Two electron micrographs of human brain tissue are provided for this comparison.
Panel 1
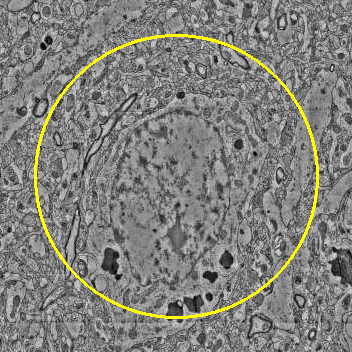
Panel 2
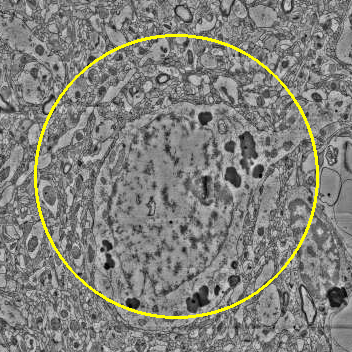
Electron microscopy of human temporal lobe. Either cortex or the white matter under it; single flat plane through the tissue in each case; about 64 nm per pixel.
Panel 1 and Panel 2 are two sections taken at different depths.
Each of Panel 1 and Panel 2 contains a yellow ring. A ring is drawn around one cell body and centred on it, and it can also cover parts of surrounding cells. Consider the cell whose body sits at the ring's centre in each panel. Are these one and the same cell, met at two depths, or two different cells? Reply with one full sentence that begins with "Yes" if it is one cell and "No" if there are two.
Yes, the cell marked in each ring is one and the same.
